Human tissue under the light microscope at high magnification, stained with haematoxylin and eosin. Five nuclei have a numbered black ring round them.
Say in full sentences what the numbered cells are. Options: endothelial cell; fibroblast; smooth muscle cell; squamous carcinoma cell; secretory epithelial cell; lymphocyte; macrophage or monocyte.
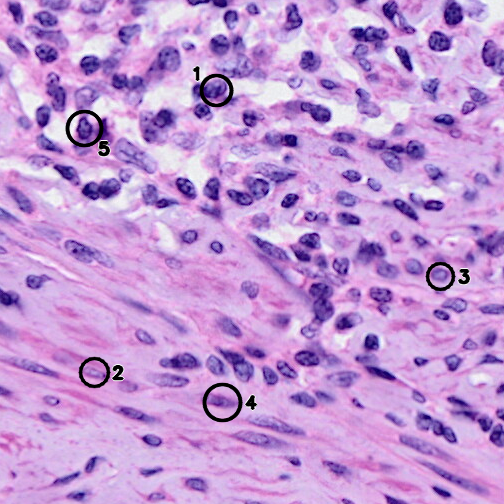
Cells 1 and 5 are lymphocytes. Cells 2, 3 and 4 are smooth muscle cells.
